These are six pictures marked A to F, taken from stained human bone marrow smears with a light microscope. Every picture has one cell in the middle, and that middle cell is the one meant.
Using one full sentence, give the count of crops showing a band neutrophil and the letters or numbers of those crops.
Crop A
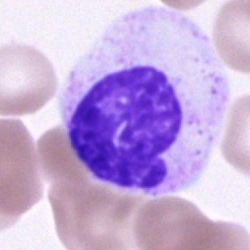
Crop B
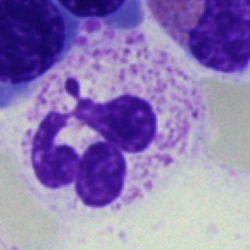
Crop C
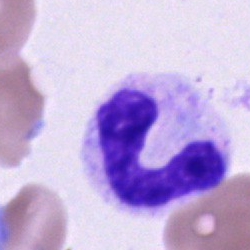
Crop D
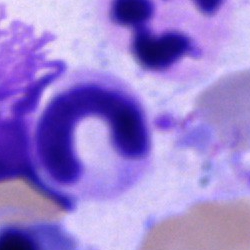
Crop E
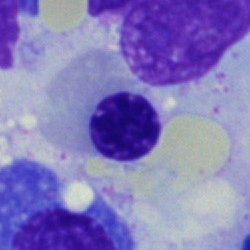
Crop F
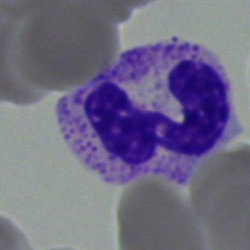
Present in four crops, A, C, D and F, are band neutrophils.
